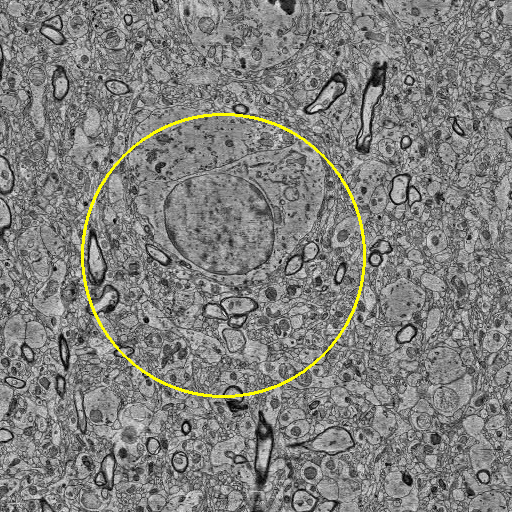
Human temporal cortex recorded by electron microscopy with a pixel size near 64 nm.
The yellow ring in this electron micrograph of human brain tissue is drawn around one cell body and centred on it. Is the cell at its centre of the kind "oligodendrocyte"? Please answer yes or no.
no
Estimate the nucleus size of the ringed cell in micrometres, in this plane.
Approximately 7 micrometres across in this plane.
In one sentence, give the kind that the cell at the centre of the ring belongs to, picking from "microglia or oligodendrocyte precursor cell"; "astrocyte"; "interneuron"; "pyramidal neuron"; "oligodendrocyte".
At the centre of the ring sits a microglial cell or oligodendrocyte precursor cell.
